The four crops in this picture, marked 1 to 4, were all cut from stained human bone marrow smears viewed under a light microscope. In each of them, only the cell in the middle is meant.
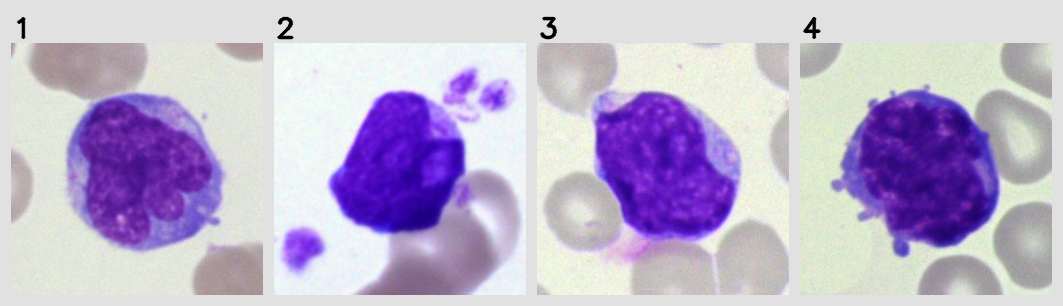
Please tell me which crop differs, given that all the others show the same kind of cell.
1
